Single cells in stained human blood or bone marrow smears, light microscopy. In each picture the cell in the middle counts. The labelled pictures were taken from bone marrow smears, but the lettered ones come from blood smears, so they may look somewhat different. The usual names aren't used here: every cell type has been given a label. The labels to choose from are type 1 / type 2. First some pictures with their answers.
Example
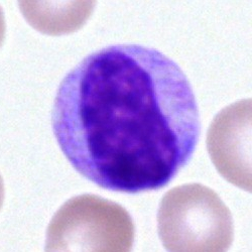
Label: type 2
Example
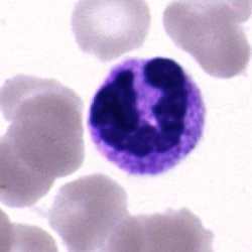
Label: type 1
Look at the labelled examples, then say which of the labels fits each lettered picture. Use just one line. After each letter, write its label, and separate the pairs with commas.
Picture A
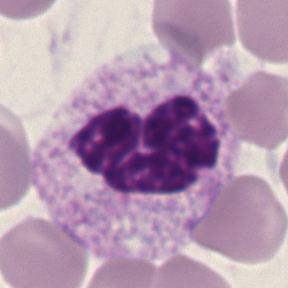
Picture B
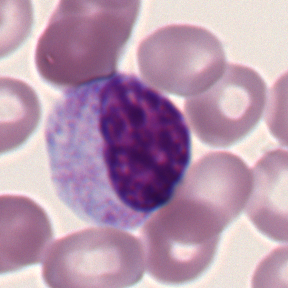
A type 1, B type 2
